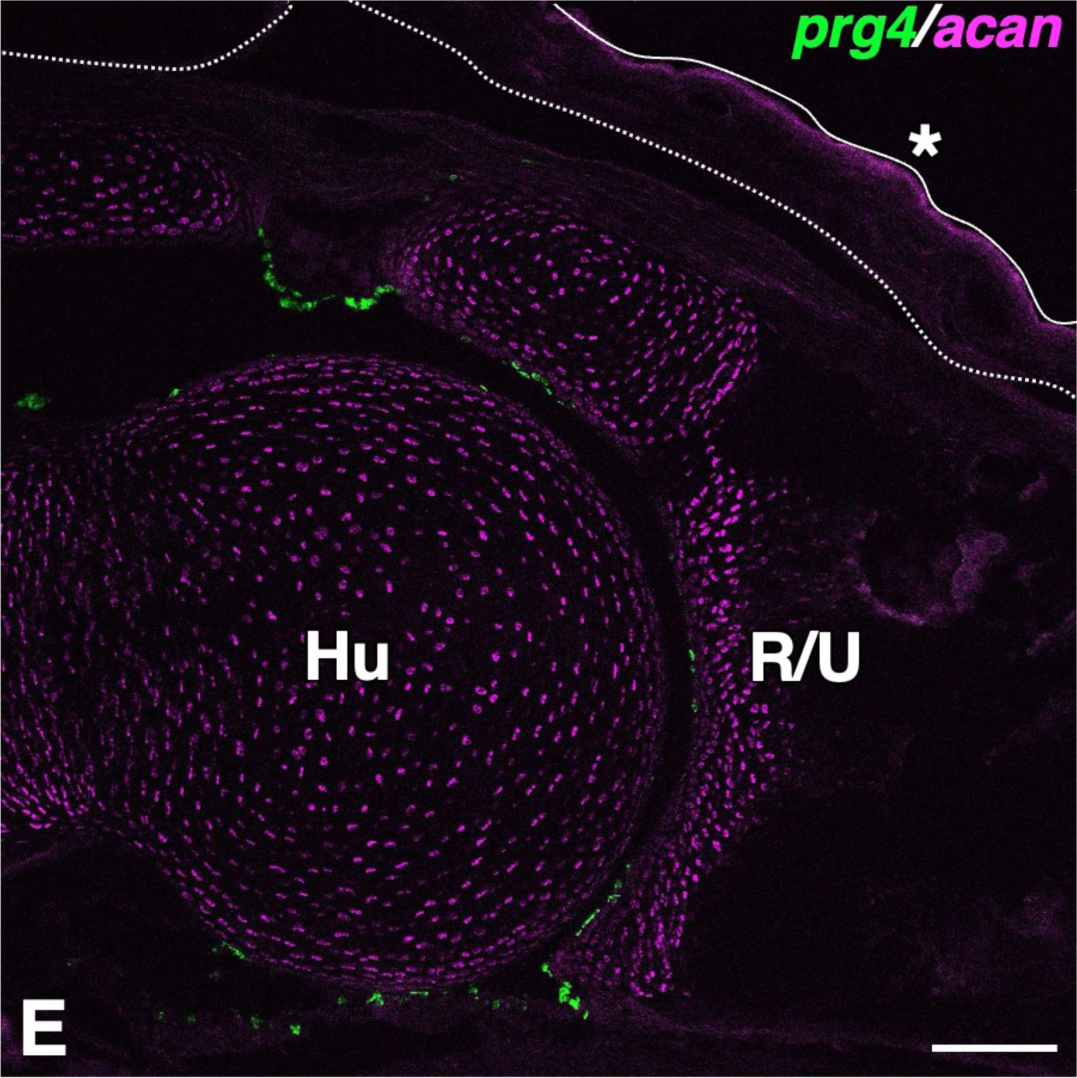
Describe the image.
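Along the surfaces where the cartilages face each other, thin discontinuous green lines mark the articular cartilage lining the joint. A narrow dark joint space separates the two elements. Above the joint, fibrous connective tissue runs over the bones, and at the top the limb is covered by epidermis whose outer layer gives a thin wavy magenta band.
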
